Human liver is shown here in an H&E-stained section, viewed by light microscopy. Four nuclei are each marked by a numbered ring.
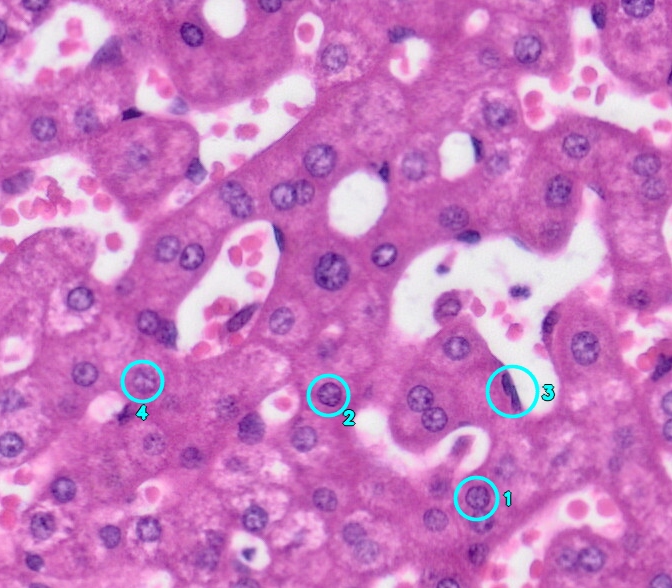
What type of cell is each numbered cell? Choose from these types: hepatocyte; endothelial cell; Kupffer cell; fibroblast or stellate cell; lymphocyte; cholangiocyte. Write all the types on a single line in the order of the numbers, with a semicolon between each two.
hepatocyte; hepatocyte; fibroblast or stellate cell; hepatocyte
